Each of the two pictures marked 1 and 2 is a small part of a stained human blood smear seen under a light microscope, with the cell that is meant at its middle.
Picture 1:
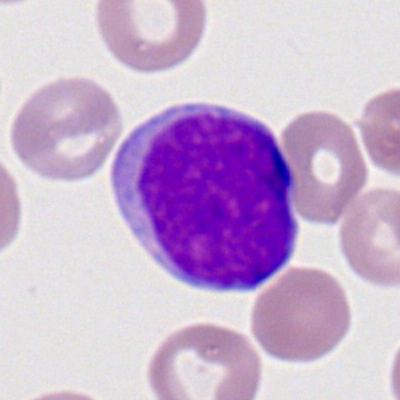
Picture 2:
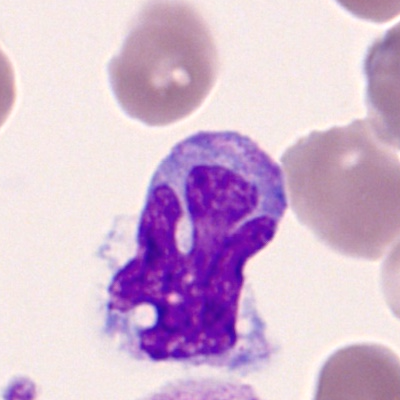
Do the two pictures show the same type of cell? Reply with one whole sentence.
No, the types are not the same, since picture 1 shows a myeloblast and picture 2 a monocyte.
